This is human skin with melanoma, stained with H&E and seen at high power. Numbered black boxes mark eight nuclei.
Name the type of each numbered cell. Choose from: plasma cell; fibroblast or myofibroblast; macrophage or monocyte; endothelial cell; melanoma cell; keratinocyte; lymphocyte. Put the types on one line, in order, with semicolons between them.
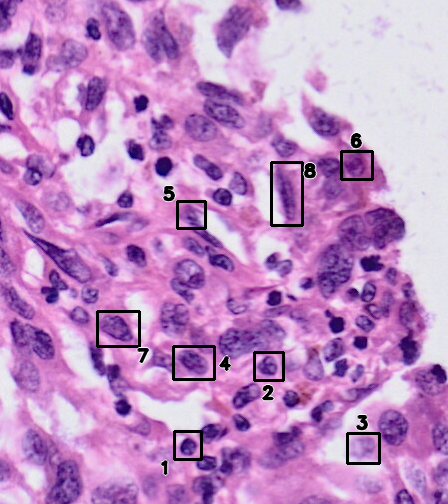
lymphocyte; lymphocyte; melanoma cell; melanoma cell; endothelial cell; melanoma cell; melanoma cell; melanoma cell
